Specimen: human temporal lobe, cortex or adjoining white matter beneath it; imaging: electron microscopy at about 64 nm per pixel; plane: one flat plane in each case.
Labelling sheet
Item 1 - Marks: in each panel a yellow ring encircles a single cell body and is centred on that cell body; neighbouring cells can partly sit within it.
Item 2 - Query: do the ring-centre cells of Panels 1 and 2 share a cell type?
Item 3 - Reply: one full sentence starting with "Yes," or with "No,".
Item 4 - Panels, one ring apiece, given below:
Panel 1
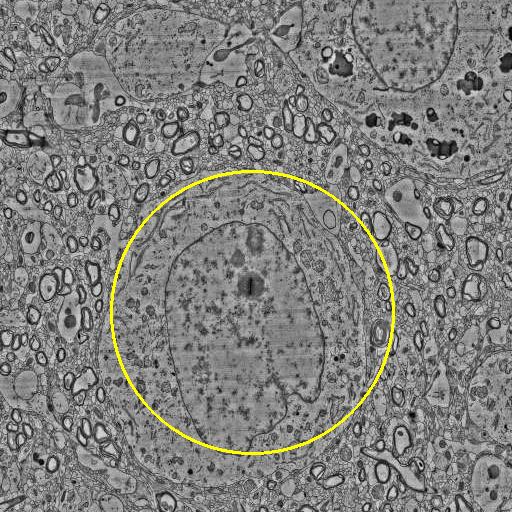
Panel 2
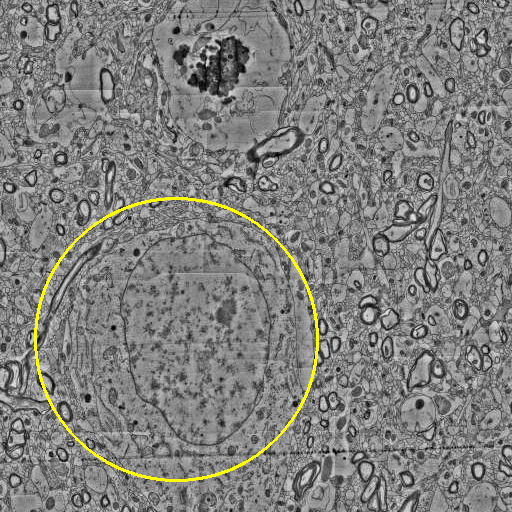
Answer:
Yes, Panel 1 and Panel 2 show one cell type at the centres of their rings.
